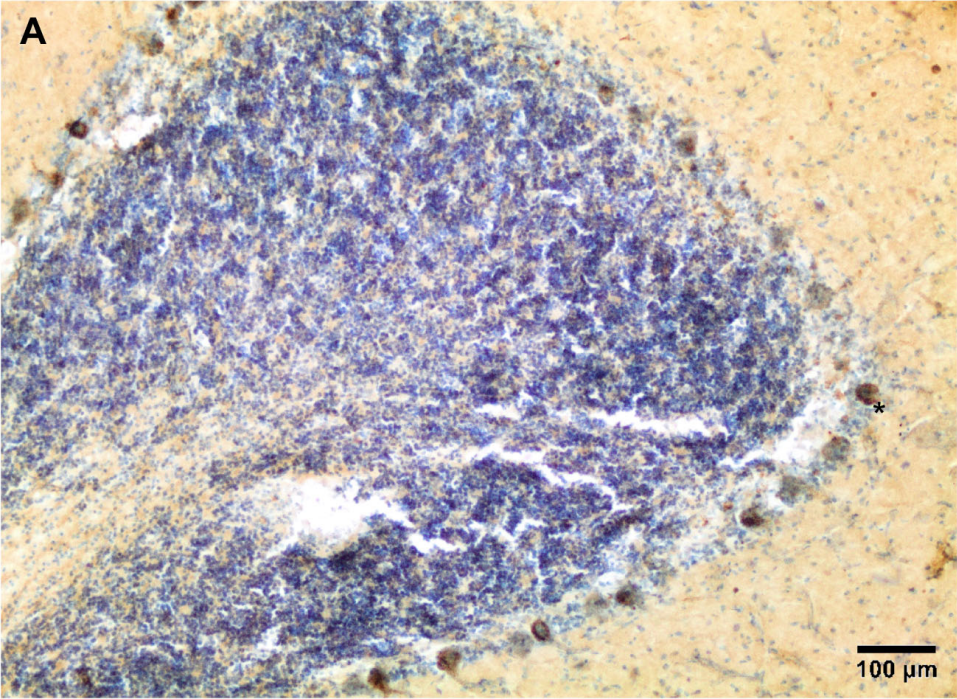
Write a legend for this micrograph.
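This section shows Purkinje cells lying in a single row along the edge of a broad band of densely packed, small blue-stained cells. The Purkinje cell bodies are large and stained brown, standing out clearly against the blue layer on one side and the pale, sparsely cellular tissue on the other.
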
